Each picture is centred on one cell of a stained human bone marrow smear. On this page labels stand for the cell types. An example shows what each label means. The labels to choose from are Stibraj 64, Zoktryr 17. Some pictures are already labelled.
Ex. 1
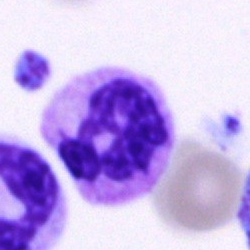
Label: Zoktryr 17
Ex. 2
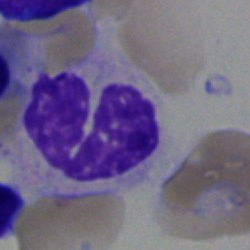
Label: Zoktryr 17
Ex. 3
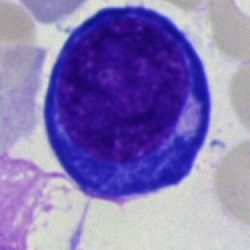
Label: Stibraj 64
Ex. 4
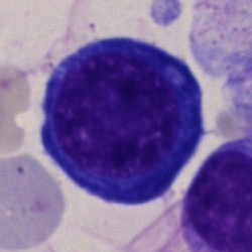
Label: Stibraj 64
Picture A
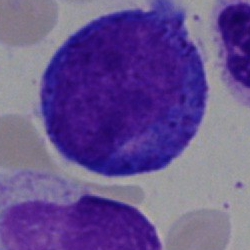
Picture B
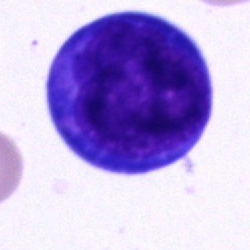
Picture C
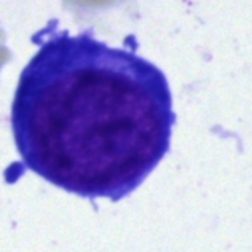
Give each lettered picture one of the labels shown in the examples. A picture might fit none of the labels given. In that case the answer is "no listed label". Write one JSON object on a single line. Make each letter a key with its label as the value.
{"A": "no listed label", "B": "Stibraj 64", "C": "Stibraj 64"}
